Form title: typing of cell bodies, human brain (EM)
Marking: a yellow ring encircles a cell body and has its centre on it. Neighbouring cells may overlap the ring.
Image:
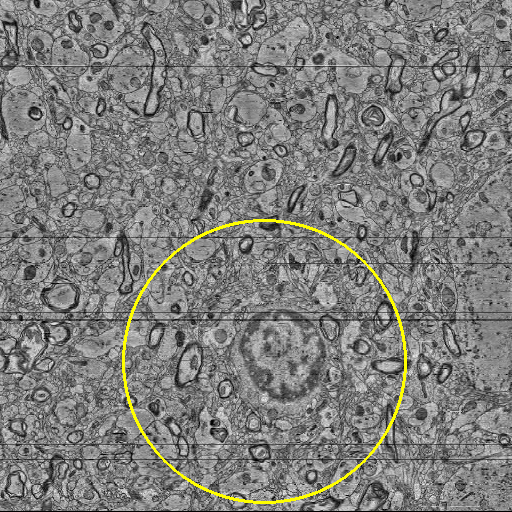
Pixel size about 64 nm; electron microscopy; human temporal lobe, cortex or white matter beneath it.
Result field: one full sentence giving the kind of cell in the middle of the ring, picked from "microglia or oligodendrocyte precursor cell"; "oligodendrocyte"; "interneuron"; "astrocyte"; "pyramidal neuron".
In the picture, the ring is centred on an oligodendrocyte, whose cell body it encircles.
